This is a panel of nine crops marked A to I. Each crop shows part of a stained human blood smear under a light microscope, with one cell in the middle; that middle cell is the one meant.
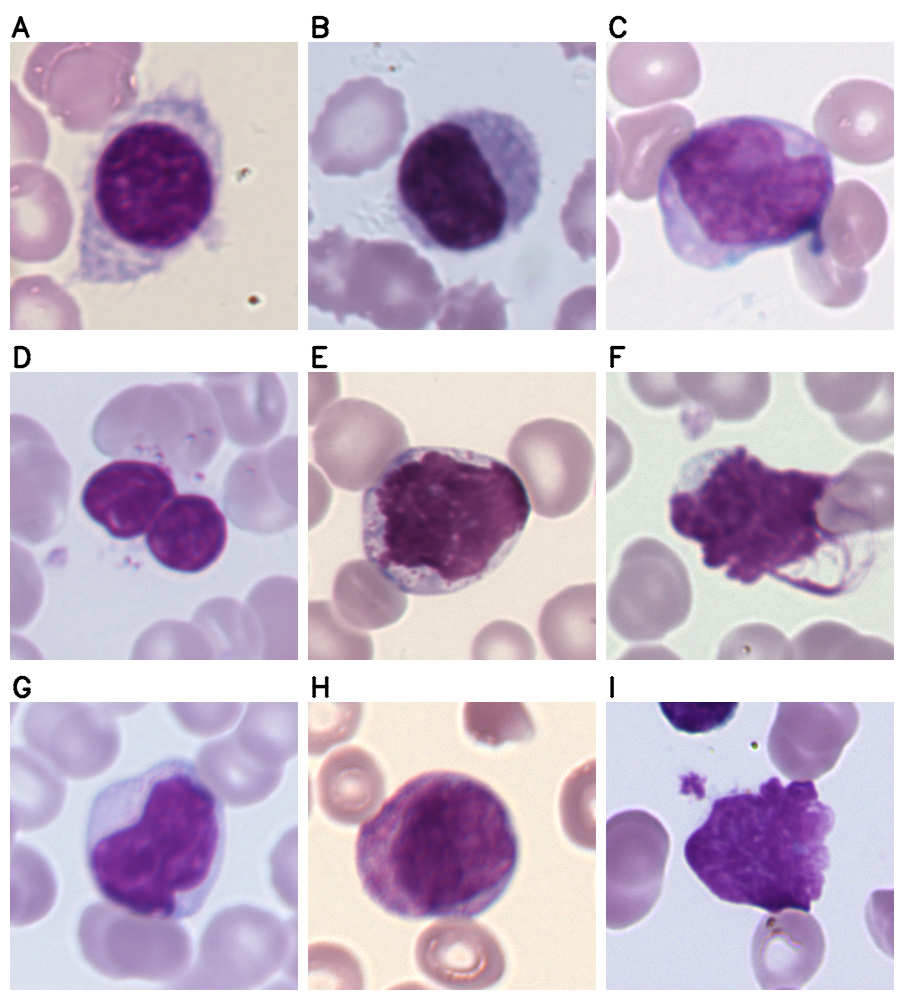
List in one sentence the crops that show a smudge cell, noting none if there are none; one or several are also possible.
In crops D, F and I, smudge cells occupy the centre.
